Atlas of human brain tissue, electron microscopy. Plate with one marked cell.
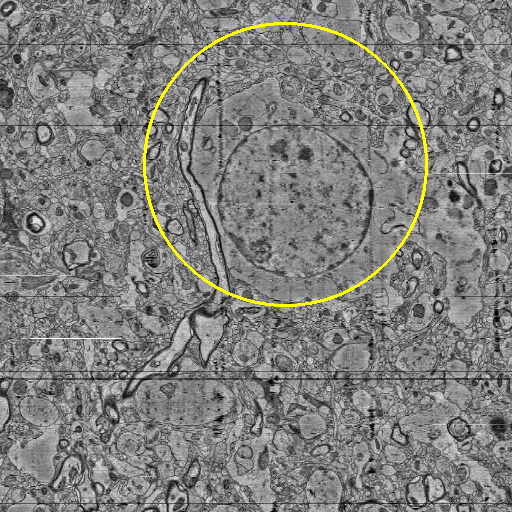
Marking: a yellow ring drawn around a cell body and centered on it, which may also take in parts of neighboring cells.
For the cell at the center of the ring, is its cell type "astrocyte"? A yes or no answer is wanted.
Yes, that is its cell type.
